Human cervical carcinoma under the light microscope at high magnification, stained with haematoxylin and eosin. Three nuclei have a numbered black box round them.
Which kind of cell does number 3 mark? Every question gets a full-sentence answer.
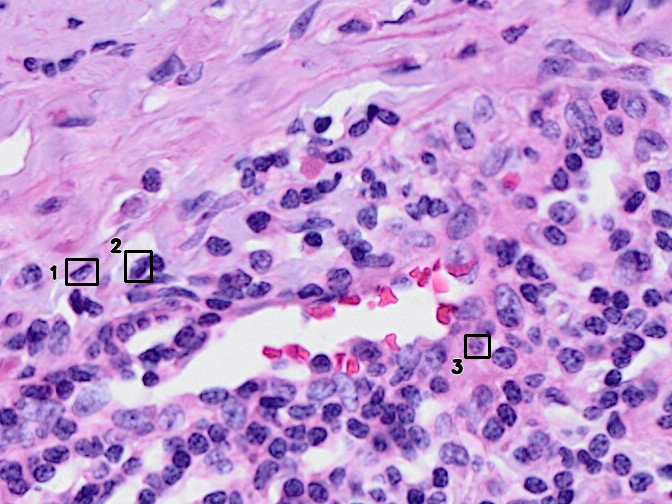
In the marked set, the cell given number 3 is an endothelial cell.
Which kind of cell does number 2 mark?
The cell given label 2 is a lymphocyte.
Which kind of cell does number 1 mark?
The marked cell with the number 1 is recognised as a lymphocyte.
